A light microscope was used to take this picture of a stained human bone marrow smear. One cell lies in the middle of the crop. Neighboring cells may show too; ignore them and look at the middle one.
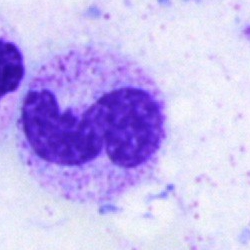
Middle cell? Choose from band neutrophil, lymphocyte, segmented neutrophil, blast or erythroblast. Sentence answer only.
In the central position of this crop, the cell is a band neutrophil.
